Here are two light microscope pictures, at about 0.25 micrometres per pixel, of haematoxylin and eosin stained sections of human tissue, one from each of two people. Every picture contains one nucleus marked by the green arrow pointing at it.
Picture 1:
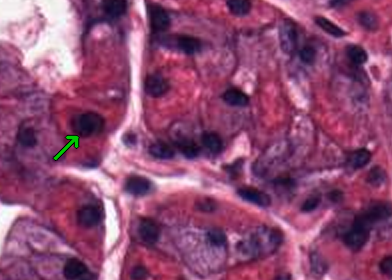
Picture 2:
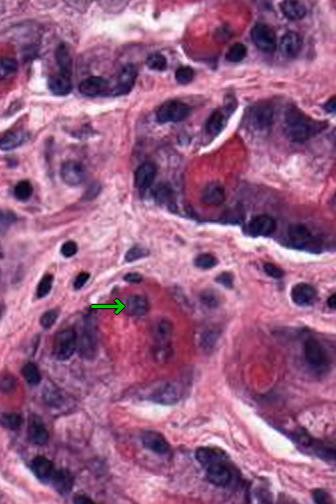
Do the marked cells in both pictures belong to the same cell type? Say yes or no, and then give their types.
Yes, both are parietal cells.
